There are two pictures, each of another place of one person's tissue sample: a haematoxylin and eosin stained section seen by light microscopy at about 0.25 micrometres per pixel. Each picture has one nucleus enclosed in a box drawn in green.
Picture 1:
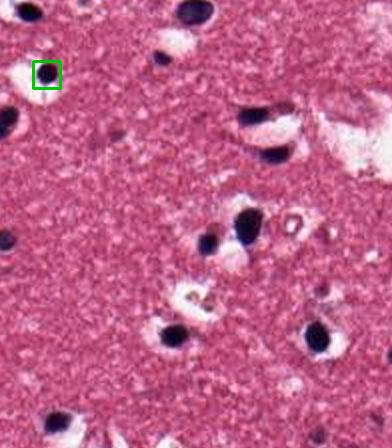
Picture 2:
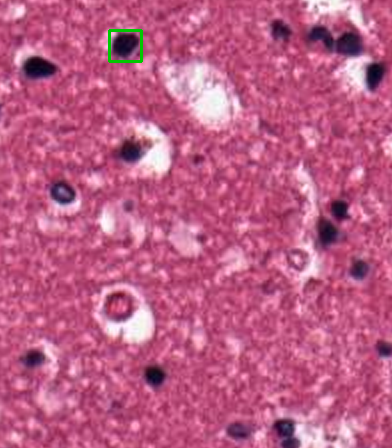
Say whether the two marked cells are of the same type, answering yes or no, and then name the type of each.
Yes, both are oligodendrocytes.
